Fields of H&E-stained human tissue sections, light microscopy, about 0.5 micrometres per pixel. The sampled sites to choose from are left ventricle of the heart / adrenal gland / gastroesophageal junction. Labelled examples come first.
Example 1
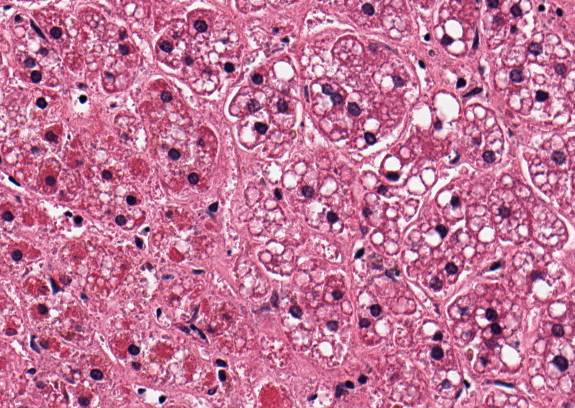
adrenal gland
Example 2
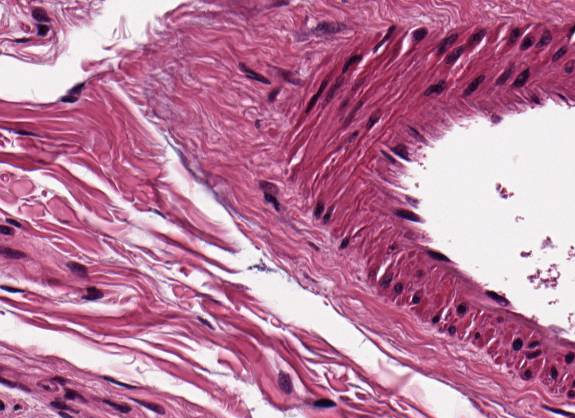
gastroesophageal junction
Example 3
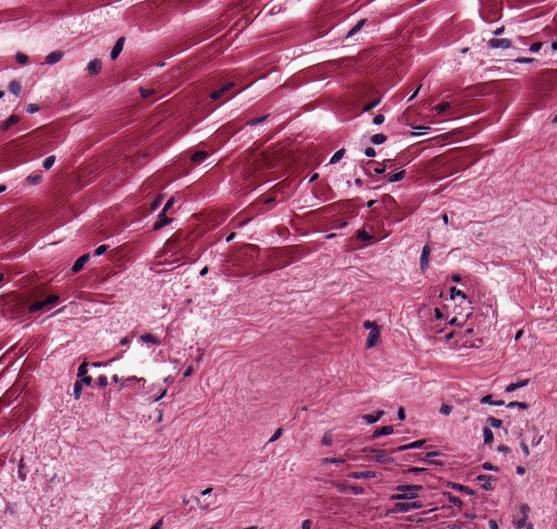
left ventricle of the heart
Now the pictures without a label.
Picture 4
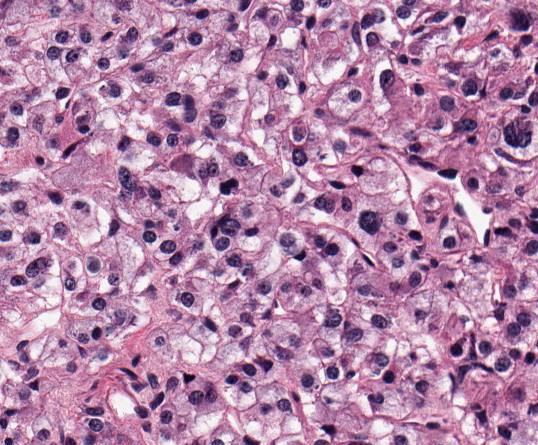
adrenal gland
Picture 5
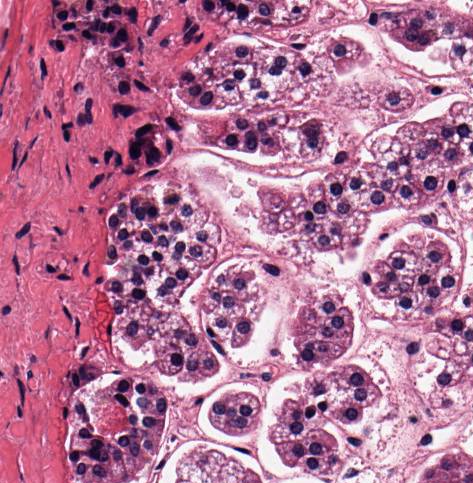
adrenal gland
